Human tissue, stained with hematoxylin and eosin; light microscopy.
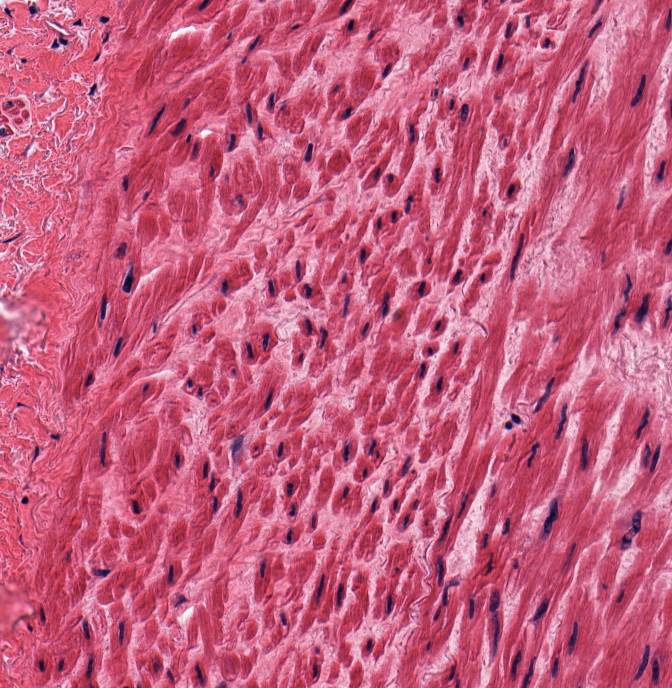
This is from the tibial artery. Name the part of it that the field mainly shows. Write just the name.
tunica media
